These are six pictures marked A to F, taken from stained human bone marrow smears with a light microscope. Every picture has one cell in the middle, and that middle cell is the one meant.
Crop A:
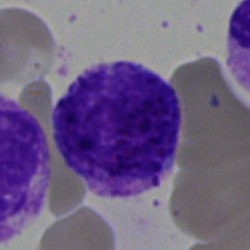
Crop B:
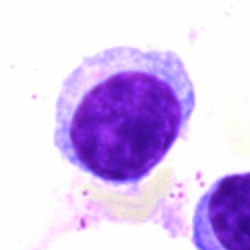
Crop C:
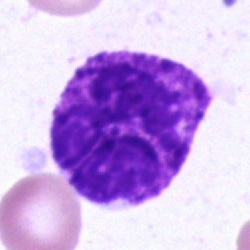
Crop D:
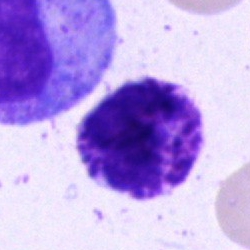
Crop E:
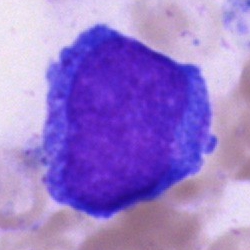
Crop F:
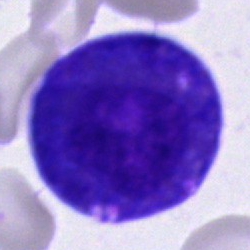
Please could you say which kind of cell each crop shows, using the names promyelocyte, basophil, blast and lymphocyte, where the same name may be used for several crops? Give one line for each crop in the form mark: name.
A: basophil
B: lymphocyte
C: basophil
D: basophil
E: blast
F: promyelocyte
